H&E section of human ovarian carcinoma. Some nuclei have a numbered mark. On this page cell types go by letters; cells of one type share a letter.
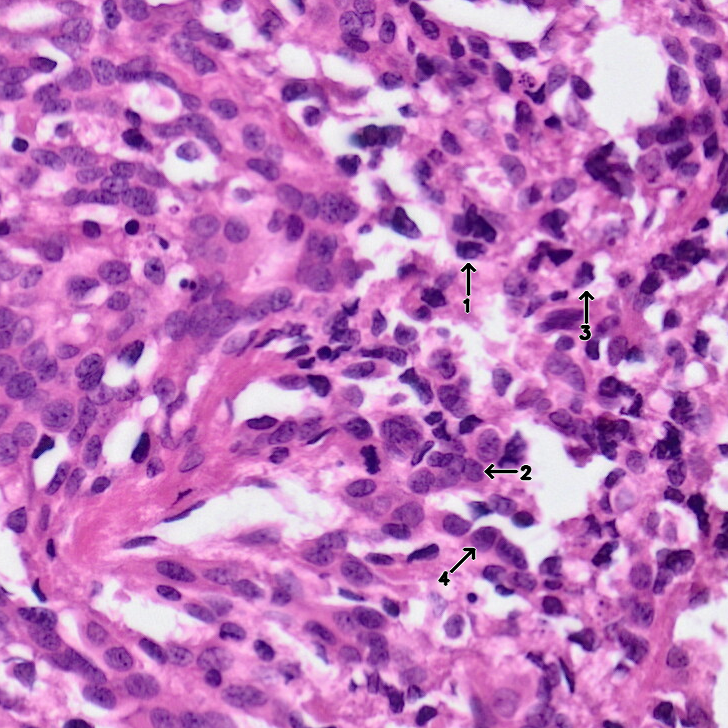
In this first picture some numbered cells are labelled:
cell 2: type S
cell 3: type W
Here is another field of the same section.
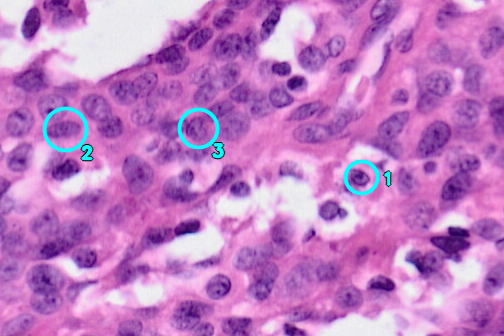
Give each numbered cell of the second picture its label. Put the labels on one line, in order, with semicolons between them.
type W; type S; type S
